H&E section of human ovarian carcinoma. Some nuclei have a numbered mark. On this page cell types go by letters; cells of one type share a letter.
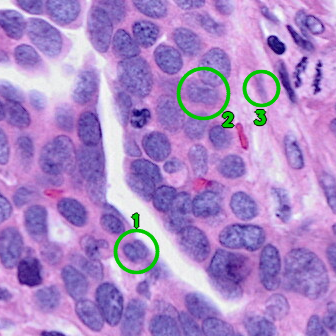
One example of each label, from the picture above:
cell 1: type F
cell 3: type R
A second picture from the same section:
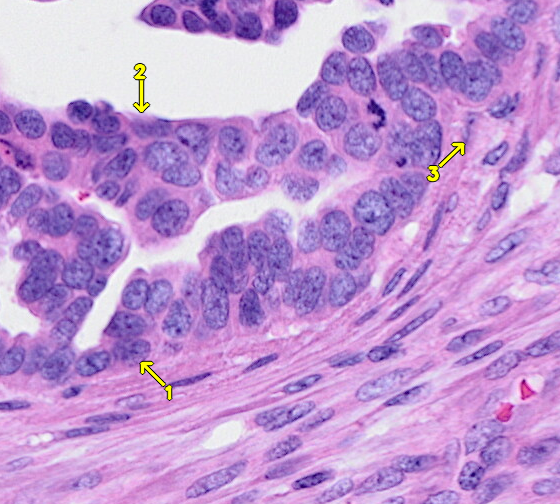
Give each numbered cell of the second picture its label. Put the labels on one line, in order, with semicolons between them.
type F; type F; type R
